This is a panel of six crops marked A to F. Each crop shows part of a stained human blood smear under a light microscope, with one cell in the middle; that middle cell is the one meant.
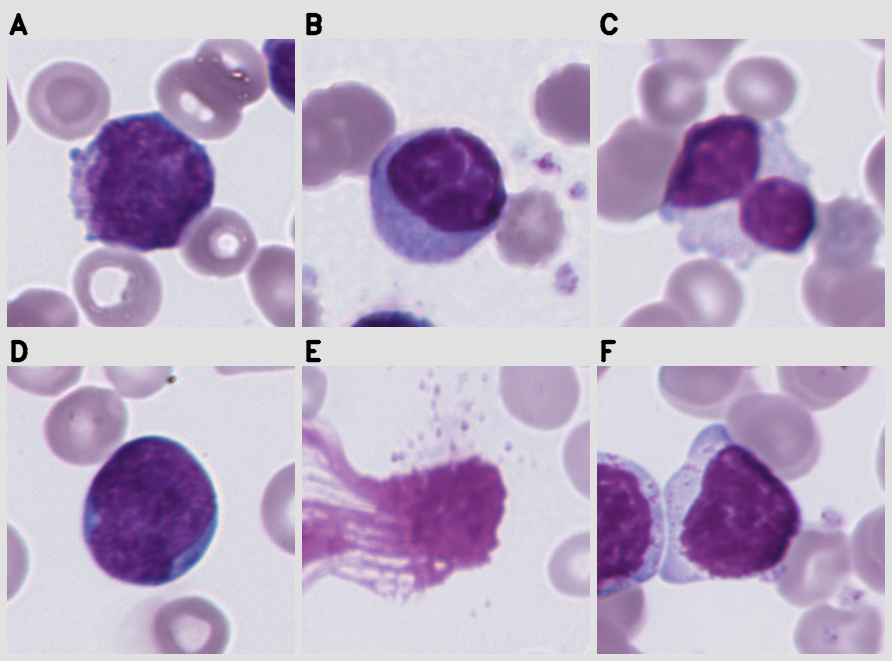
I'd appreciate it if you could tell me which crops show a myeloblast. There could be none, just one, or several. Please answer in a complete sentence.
Of the crops given, a myeloblast is shown by crop D alone.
